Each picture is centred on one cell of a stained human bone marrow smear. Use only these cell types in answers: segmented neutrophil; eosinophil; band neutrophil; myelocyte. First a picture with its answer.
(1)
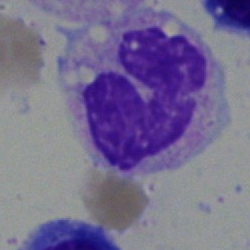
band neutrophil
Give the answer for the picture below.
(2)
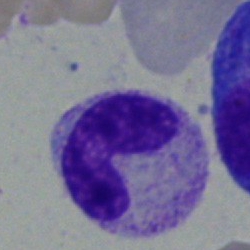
band neutrophil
